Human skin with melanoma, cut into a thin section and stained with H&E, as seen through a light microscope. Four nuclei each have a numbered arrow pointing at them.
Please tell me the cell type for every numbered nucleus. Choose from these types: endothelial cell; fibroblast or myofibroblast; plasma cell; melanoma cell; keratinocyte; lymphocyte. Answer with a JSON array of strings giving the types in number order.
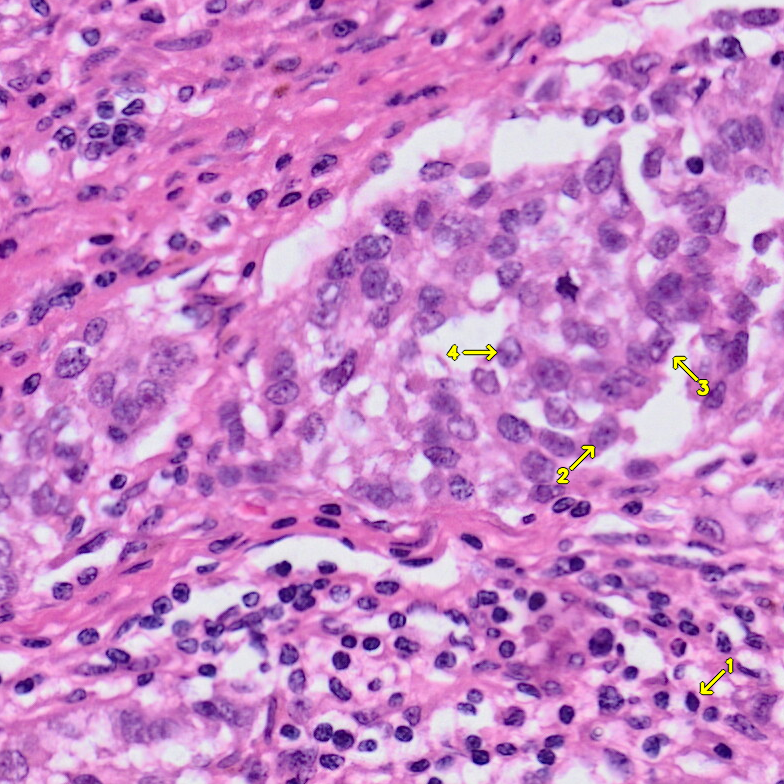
["lymphocyte", "melanoma cell", "melanoma cell", "melanoma cell"]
